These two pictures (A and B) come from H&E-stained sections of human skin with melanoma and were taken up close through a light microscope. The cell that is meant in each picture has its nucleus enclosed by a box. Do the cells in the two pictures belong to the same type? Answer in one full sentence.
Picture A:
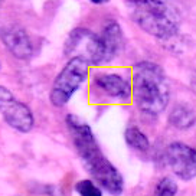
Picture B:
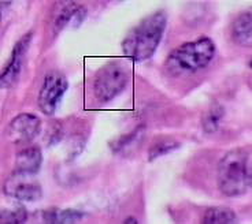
Yes, they are the same type: both are melanoma cells.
